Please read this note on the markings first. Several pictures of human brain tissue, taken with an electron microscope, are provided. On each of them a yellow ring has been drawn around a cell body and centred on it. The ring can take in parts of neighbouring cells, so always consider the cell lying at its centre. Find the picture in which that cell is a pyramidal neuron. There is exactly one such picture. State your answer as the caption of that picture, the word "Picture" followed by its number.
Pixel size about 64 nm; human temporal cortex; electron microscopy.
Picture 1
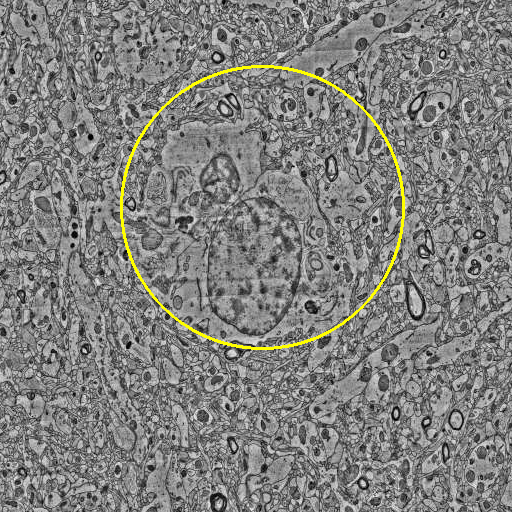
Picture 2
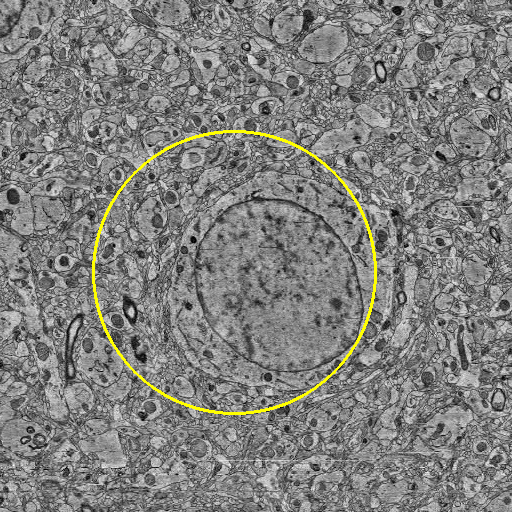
Picture 2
